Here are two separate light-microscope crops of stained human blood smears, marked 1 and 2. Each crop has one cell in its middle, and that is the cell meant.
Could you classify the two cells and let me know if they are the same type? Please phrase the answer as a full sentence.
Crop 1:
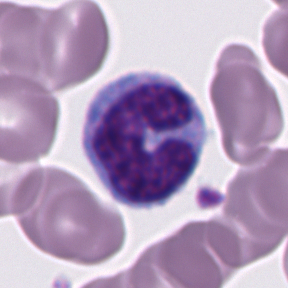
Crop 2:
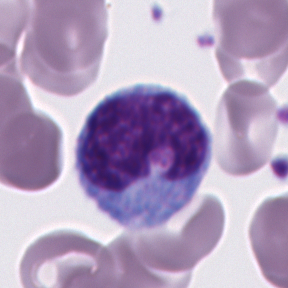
Yes, both crops show monocytes, with no exception.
